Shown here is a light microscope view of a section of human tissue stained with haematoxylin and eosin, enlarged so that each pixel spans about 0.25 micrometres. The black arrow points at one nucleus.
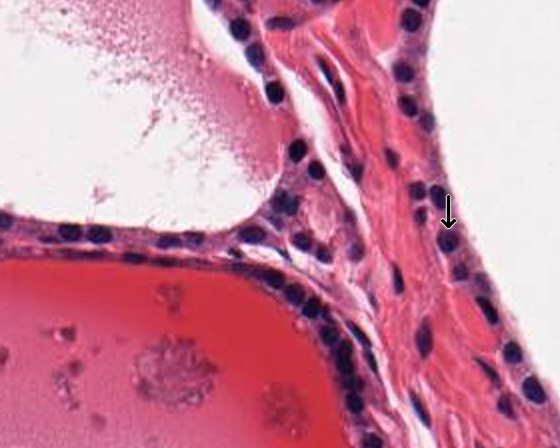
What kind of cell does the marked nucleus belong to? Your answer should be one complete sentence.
What the marked nucleus belongs to is a thyroid follicular cell.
